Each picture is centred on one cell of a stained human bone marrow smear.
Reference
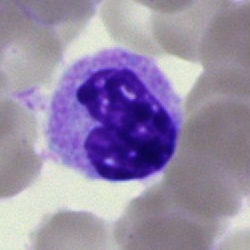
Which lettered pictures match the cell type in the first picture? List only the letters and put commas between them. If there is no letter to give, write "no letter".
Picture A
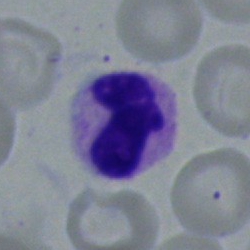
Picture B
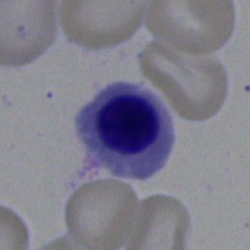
A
